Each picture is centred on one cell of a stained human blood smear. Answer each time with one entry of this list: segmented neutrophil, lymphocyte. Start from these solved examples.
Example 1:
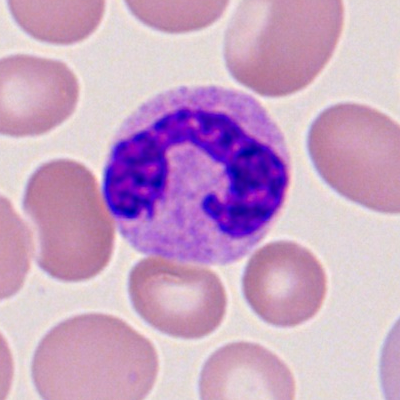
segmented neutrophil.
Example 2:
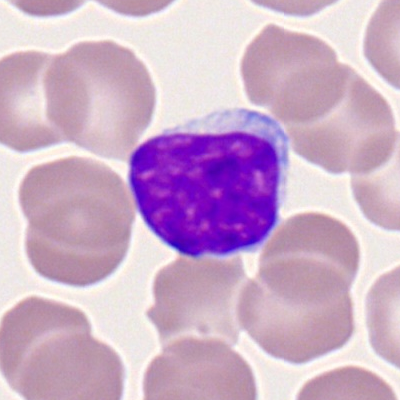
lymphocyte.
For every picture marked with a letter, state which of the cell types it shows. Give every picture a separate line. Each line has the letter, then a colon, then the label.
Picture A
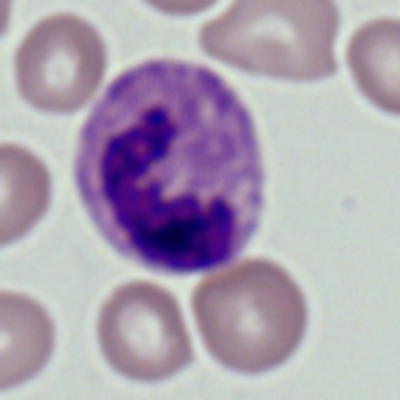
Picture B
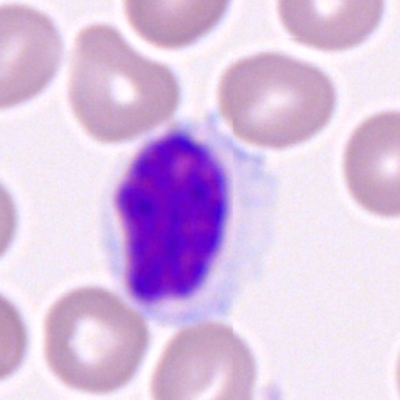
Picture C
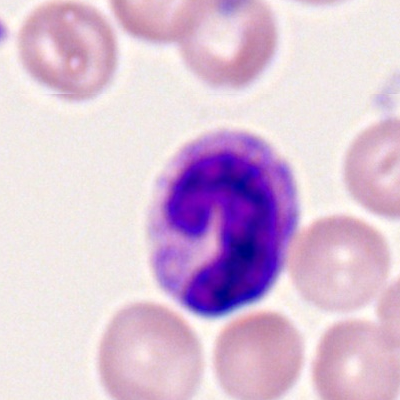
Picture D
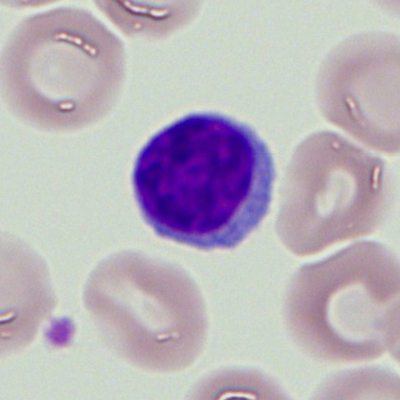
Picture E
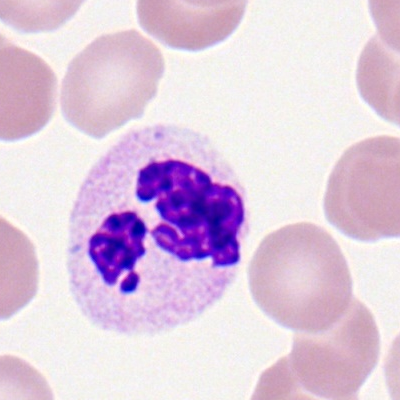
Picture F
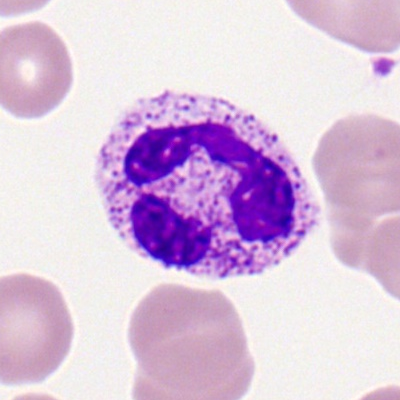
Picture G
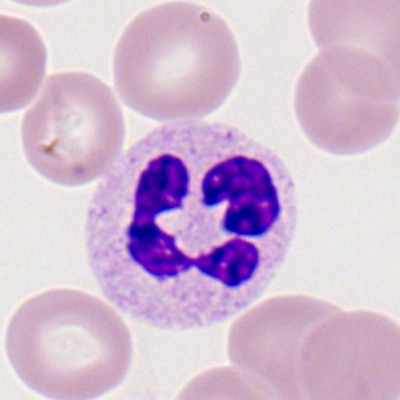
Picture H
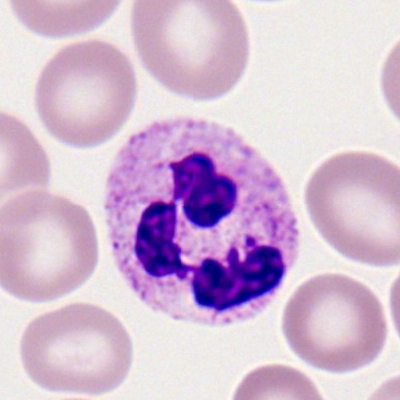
A: segmented neutrophil.
B: lymphocyte.
C: segmented neutrophil.
D: lymphocyte.
E: segmented neutrophil.
F: segmented neutrophil.
G: segmented neutrophil.
H: segmented neutrophil.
